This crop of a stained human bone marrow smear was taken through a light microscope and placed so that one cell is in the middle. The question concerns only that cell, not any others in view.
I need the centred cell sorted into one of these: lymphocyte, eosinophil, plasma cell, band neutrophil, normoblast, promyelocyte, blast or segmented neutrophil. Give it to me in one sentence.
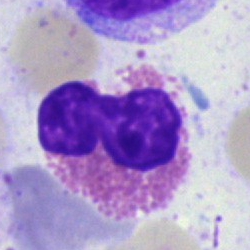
The cell at the heart of this crop is an eosinophil.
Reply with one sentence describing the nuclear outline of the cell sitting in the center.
The key feature is a nucleus with multiple lobes.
